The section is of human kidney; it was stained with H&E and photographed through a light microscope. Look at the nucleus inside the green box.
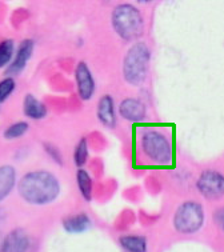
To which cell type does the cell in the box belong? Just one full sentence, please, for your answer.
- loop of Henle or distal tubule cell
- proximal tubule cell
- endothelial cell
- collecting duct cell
In this section, the cell in the box is a collecting duct cell.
